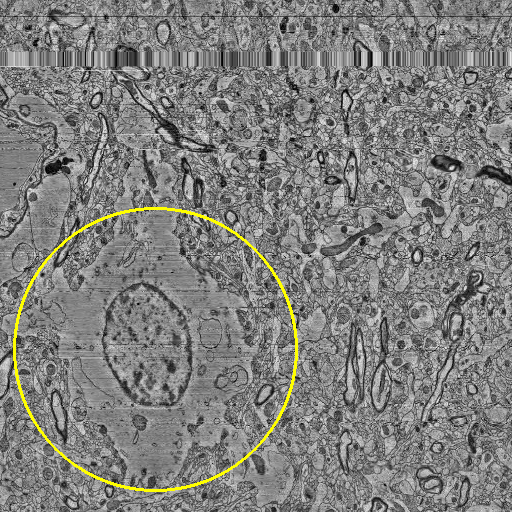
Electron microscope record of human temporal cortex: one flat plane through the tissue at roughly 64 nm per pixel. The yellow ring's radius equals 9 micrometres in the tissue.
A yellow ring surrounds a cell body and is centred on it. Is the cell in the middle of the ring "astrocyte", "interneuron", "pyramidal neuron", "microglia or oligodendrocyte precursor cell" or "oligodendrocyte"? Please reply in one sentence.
The ring is centred on an astrocyte.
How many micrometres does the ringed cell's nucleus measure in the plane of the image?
In this plane, roughly 8 by 6 micrometres.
